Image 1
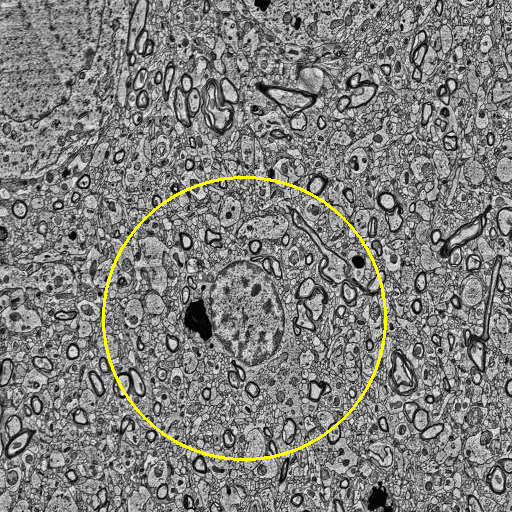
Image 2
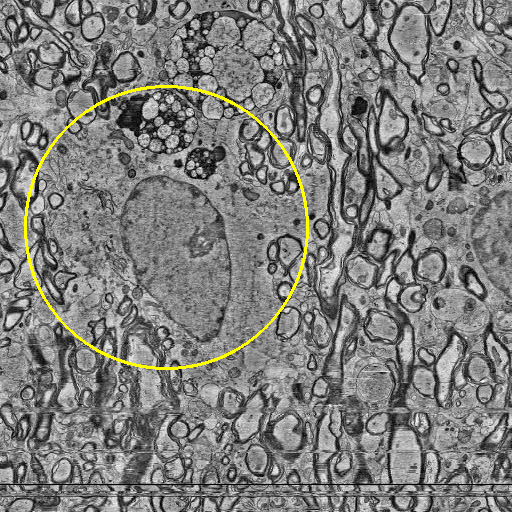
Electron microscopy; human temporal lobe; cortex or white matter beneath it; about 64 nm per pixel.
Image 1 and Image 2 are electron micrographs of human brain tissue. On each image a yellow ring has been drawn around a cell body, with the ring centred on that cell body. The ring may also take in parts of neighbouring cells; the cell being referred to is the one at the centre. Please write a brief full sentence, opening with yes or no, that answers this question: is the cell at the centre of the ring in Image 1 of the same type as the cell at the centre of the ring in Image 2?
No, the two cells are of two types.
